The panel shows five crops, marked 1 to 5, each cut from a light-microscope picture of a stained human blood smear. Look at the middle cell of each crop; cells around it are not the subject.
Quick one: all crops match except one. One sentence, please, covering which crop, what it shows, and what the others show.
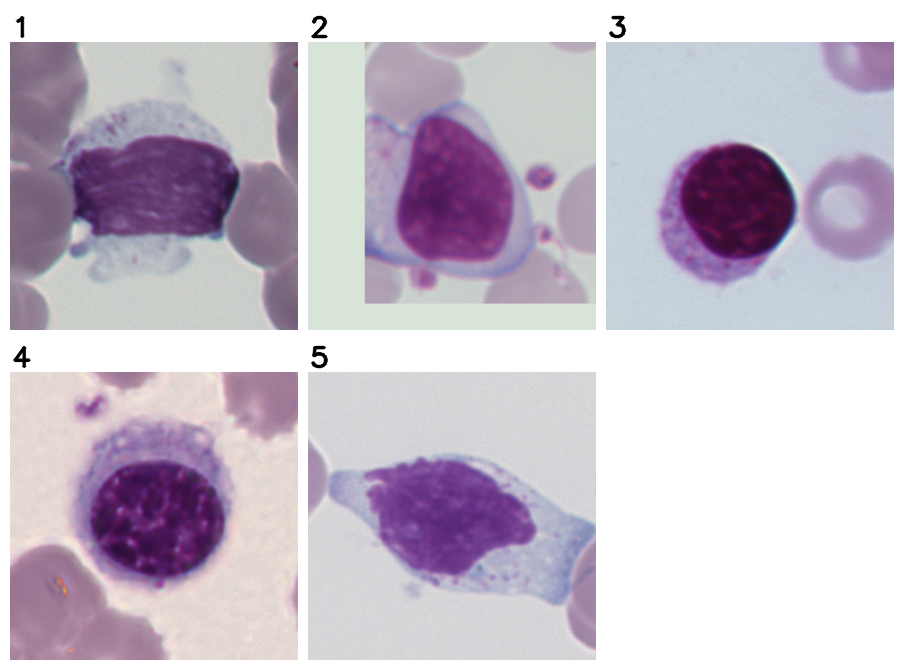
Crop 4 differs from the others in showing a plasma cell; the rest all show large granular lymphocytes.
